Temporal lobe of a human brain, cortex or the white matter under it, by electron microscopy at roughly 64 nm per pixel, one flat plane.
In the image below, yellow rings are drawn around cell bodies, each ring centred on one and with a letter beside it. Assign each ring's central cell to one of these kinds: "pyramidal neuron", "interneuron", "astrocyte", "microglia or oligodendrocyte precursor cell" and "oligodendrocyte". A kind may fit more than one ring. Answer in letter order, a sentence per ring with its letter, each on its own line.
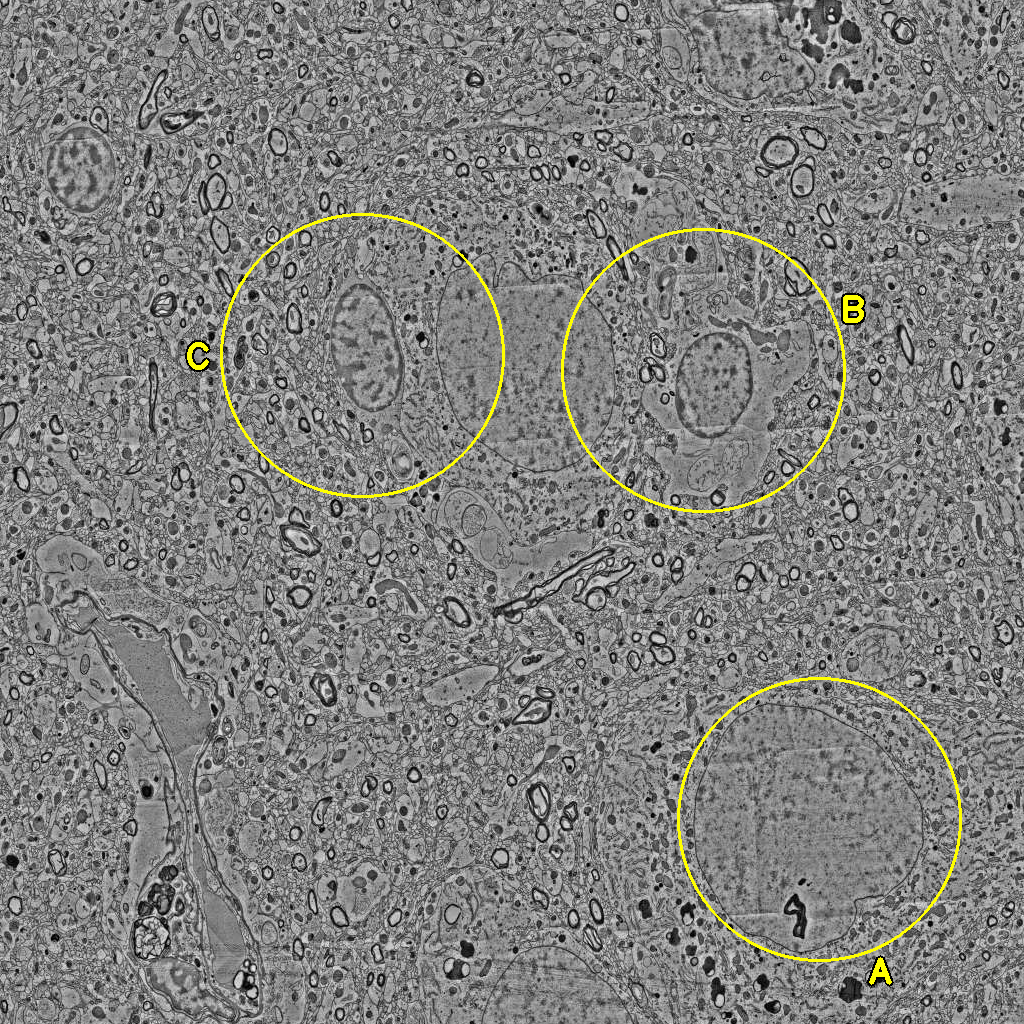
The central cell of ring A is a pyramidal neuron.
The central cell of ring B is an astrocyte.
The central cell of ring C is an oligodendrocyte.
